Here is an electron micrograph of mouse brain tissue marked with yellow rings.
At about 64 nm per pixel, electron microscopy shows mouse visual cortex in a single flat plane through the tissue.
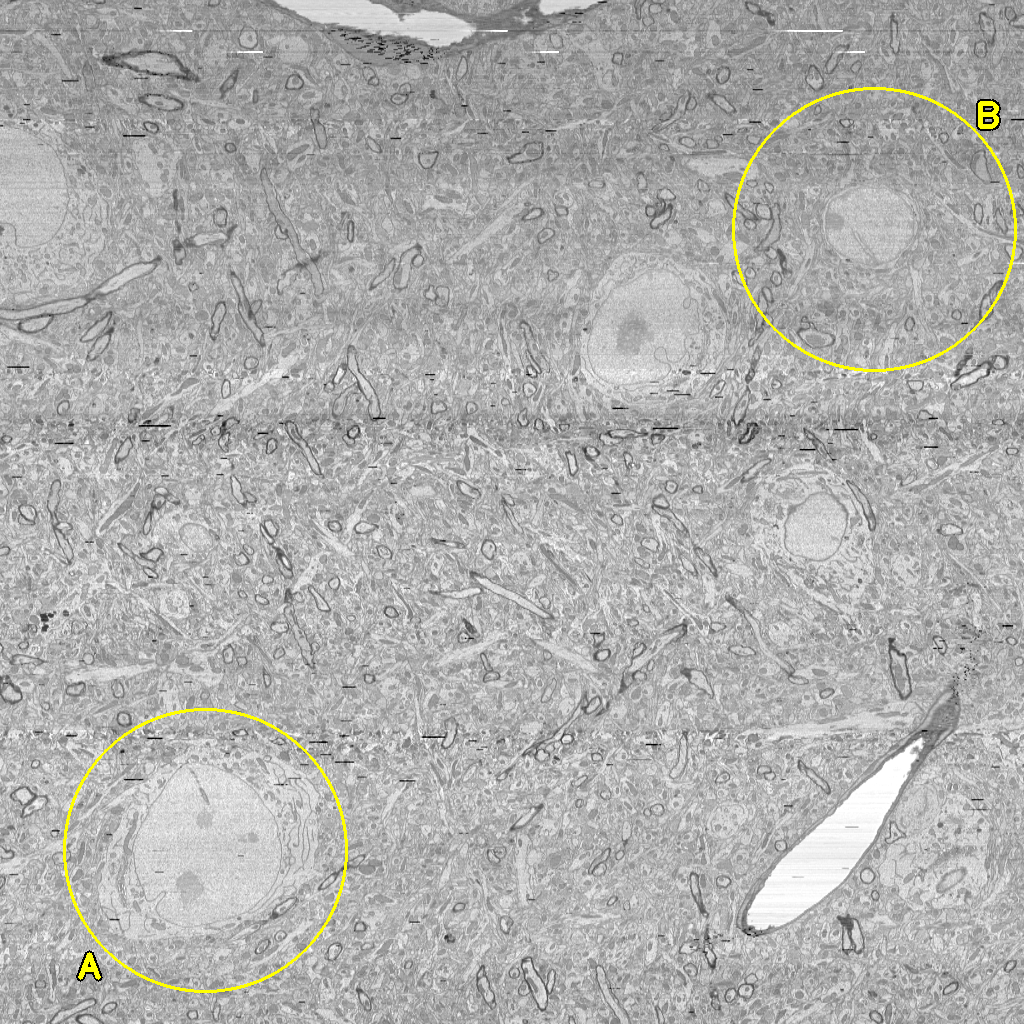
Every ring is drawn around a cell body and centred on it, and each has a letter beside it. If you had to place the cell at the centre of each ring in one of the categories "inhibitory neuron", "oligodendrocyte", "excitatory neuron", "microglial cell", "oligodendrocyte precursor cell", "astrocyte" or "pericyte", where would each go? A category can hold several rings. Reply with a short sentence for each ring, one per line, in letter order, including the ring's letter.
The centre of ring A holds an excitatory neuron.
The centre of ring B holds an oligodendrocyte precursor cell.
